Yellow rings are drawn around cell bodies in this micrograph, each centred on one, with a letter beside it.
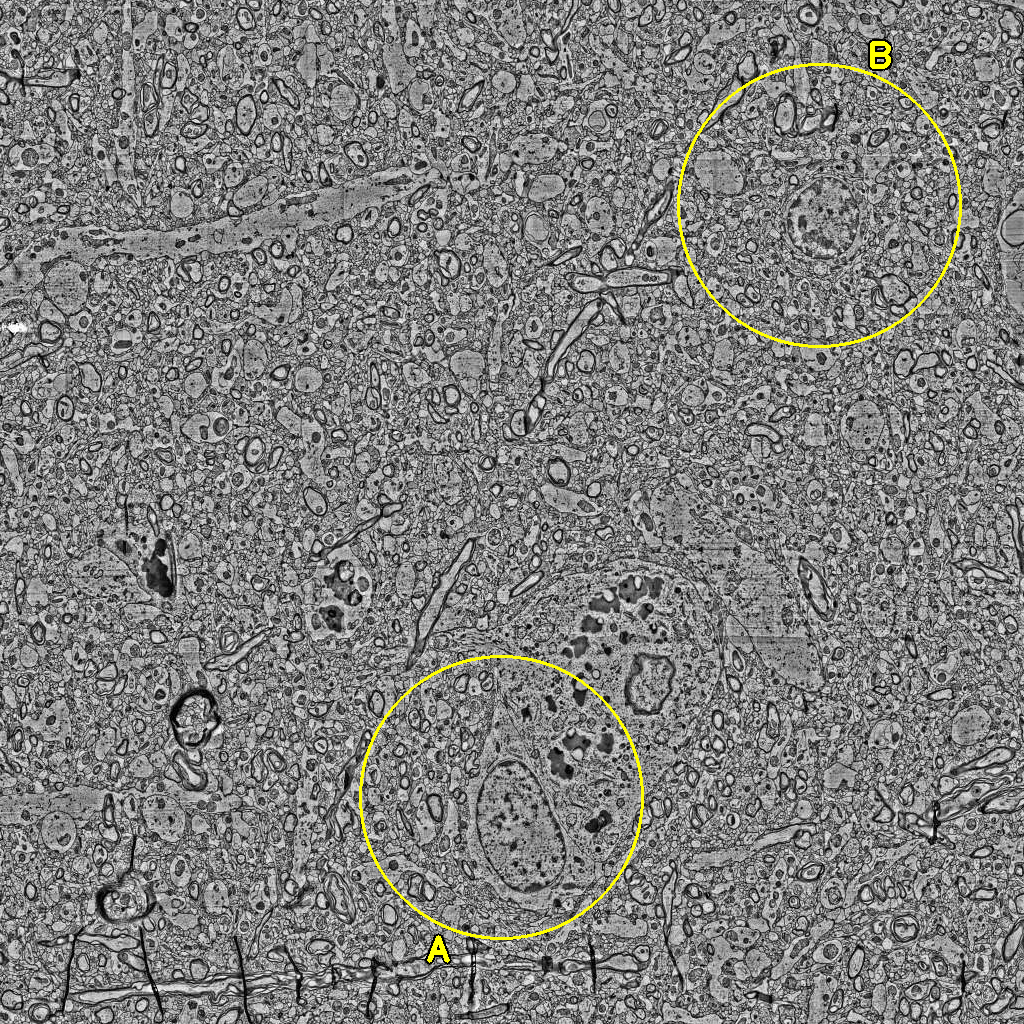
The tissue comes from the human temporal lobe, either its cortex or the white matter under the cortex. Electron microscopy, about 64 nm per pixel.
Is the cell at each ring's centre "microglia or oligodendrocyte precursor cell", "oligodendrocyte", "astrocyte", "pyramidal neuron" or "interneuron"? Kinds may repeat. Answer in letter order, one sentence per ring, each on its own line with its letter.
In ring A, the cell at the centre is a microglial cell or oligodendrocyte precursor cell.
In ring B, the cell at the centre is an oligodendrocyte.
